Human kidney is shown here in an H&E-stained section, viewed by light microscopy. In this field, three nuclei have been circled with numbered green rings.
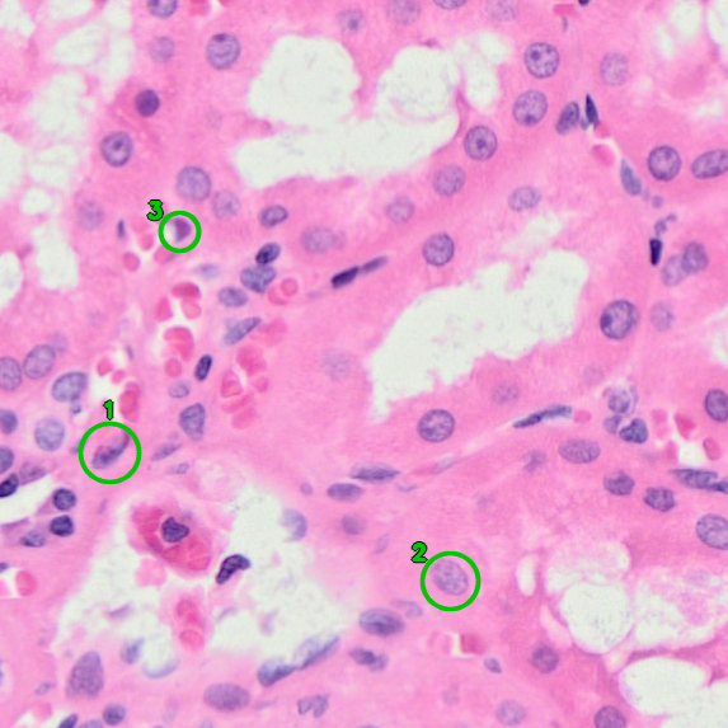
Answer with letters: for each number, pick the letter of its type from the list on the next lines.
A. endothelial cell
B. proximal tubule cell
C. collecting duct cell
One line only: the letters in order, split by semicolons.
A; B; A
